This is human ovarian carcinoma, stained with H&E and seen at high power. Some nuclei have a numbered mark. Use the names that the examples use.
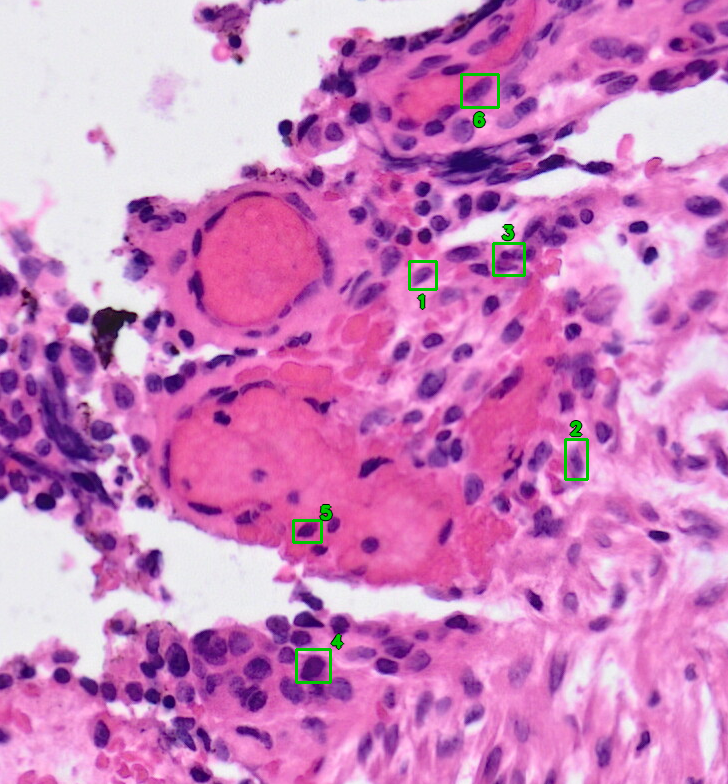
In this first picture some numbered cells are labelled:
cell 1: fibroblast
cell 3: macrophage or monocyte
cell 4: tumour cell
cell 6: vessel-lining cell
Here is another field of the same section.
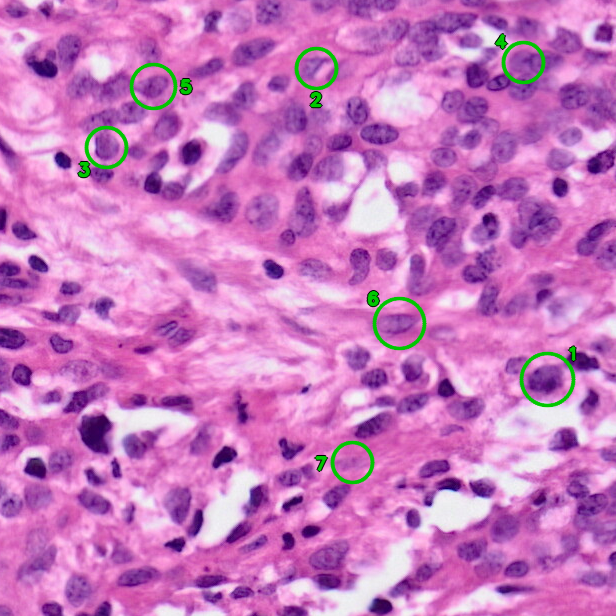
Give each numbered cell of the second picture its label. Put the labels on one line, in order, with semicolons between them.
tumour cell; vessel-lining cell; tumour cell; tumour cell; tumour cell; vessel-lining cell; fibroblast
